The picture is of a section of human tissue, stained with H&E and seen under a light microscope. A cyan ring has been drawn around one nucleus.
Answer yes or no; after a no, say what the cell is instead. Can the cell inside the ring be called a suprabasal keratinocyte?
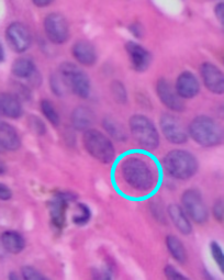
No, it is a basal keratinocyte.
